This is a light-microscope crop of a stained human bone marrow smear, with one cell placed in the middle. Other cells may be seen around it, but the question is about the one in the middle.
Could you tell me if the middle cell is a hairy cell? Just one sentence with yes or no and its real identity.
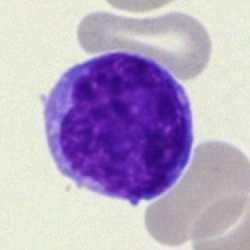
No, the centred cell is a blast, and it is not a hairy cell.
